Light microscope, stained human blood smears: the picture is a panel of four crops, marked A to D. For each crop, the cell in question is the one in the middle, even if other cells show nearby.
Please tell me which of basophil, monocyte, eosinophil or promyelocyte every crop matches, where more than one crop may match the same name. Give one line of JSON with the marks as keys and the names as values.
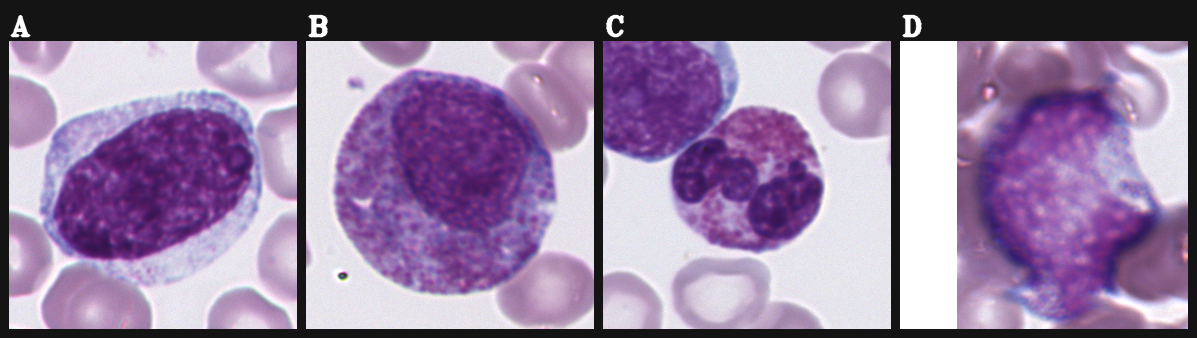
{"A": "promyelocyte", "B": "promyelocyte", "C": "eosinophil", "D": "promyelocyte"}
